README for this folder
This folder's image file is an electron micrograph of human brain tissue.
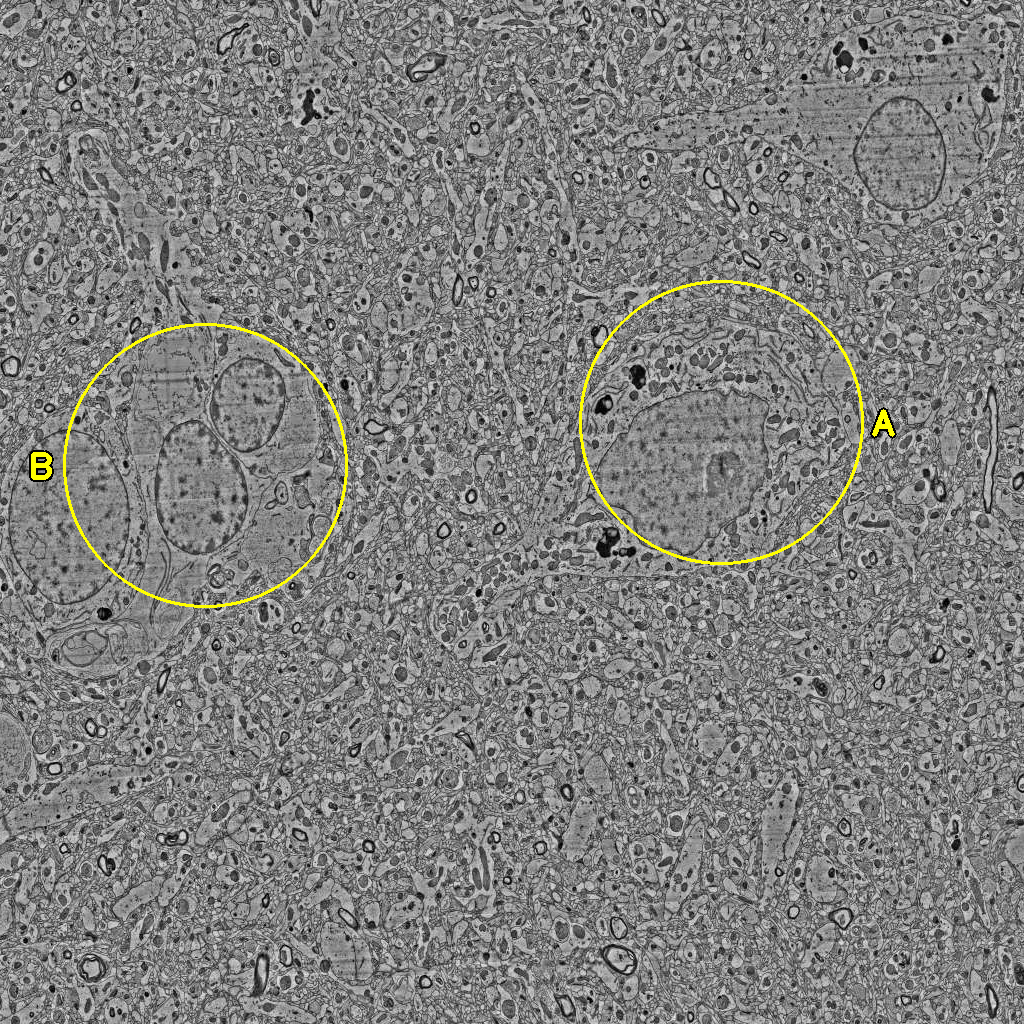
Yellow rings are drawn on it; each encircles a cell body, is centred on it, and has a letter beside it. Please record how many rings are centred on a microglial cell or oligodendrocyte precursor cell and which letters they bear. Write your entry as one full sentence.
Zero rings in the micrograph are centred on a microglial cell or oligodendrocyte precursor cell.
